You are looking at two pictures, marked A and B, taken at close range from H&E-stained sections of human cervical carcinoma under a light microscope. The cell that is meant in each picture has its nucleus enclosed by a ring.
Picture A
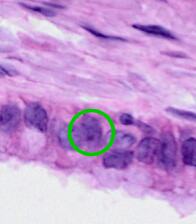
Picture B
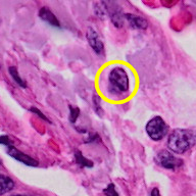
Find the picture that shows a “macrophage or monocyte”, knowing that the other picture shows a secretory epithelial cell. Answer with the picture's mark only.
B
